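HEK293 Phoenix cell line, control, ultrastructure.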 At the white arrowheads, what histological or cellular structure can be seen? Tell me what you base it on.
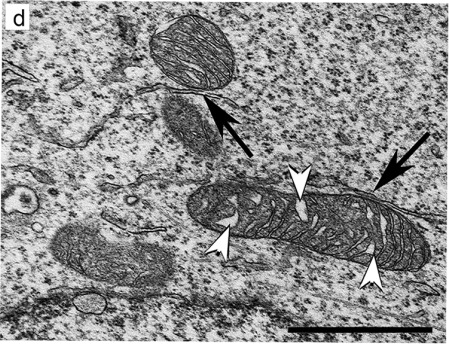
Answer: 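Small pale widenings within the folds of an elongated mitochondrion. Surrounding matrix is dark.
Conclusion: dilated cristae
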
